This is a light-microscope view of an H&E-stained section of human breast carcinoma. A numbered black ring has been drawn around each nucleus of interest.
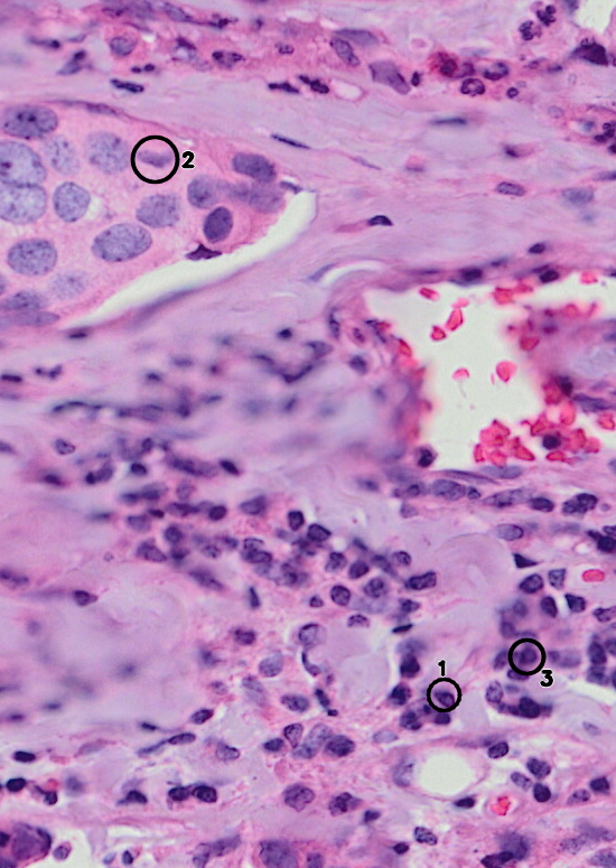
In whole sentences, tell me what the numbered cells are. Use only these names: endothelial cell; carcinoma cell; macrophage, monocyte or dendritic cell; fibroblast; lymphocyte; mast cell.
Cells 1 and 3 are lymphocytes. Cell 2 is a carcinoma cell.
